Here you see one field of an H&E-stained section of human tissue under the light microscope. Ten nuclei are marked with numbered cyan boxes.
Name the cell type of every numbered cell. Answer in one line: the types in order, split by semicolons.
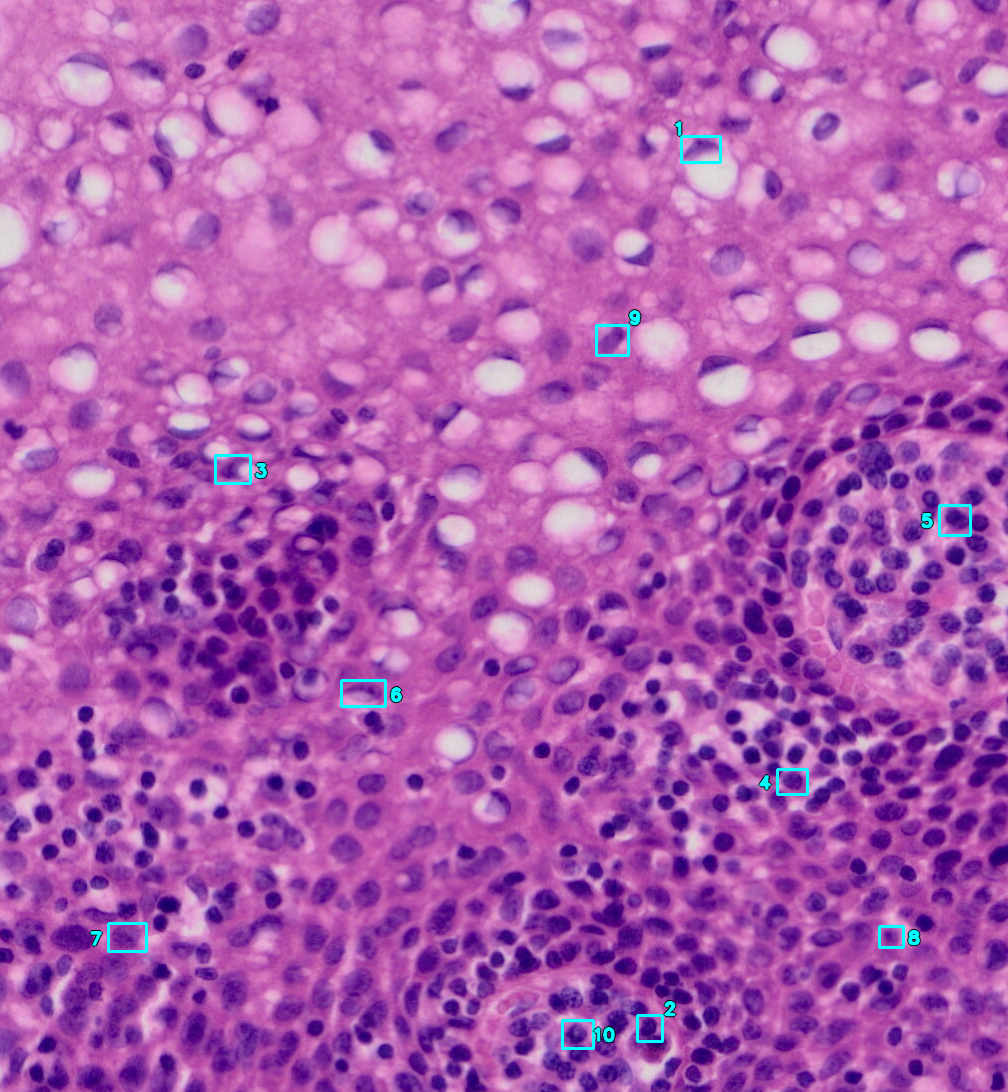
squamous epithelial cell; plasma cell; squamous epithelial cell; plasma cell; plasma cell; squamous epithelial cell; squamous epithelial cell; squamous epithelial cell; squamous epithelial cell; plasma cell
